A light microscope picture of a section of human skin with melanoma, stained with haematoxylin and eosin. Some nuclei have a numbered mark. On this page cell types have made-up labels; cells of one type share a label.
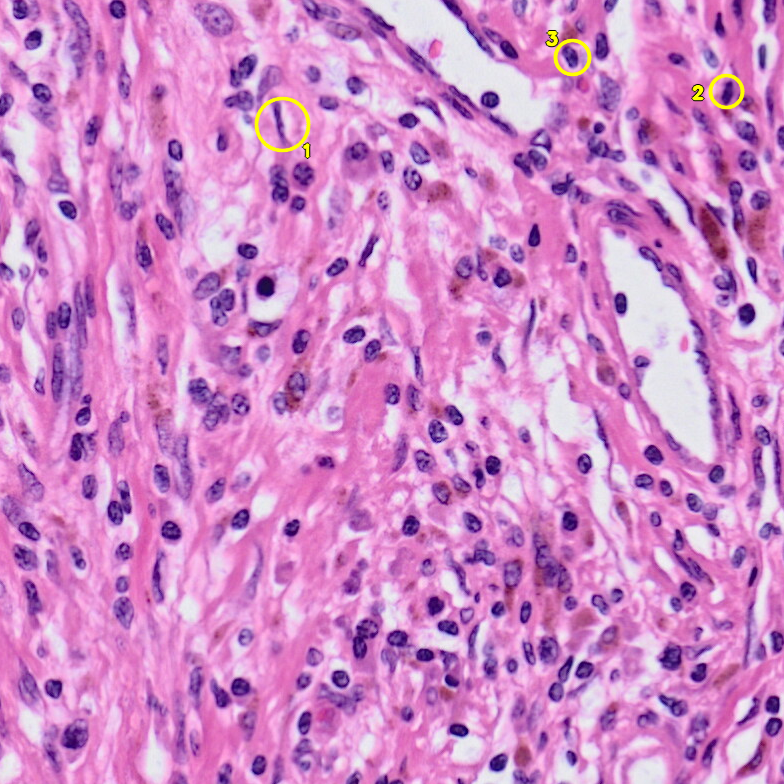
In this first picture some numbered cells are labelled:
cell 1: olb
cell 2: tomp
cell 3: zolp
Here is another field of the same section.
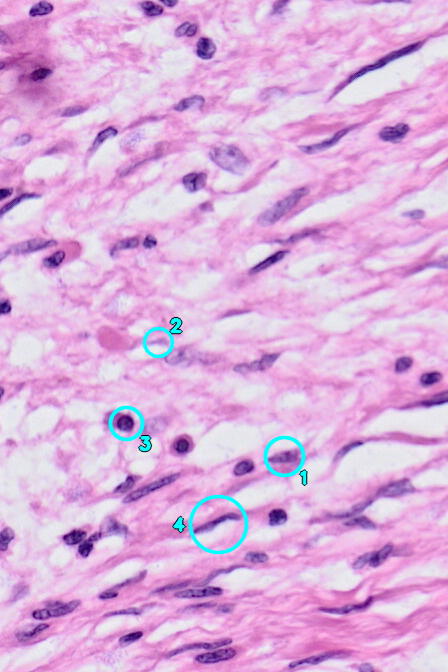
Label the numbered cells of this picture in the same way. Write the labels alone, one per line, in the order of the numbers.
olb
olb
tomp
olb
